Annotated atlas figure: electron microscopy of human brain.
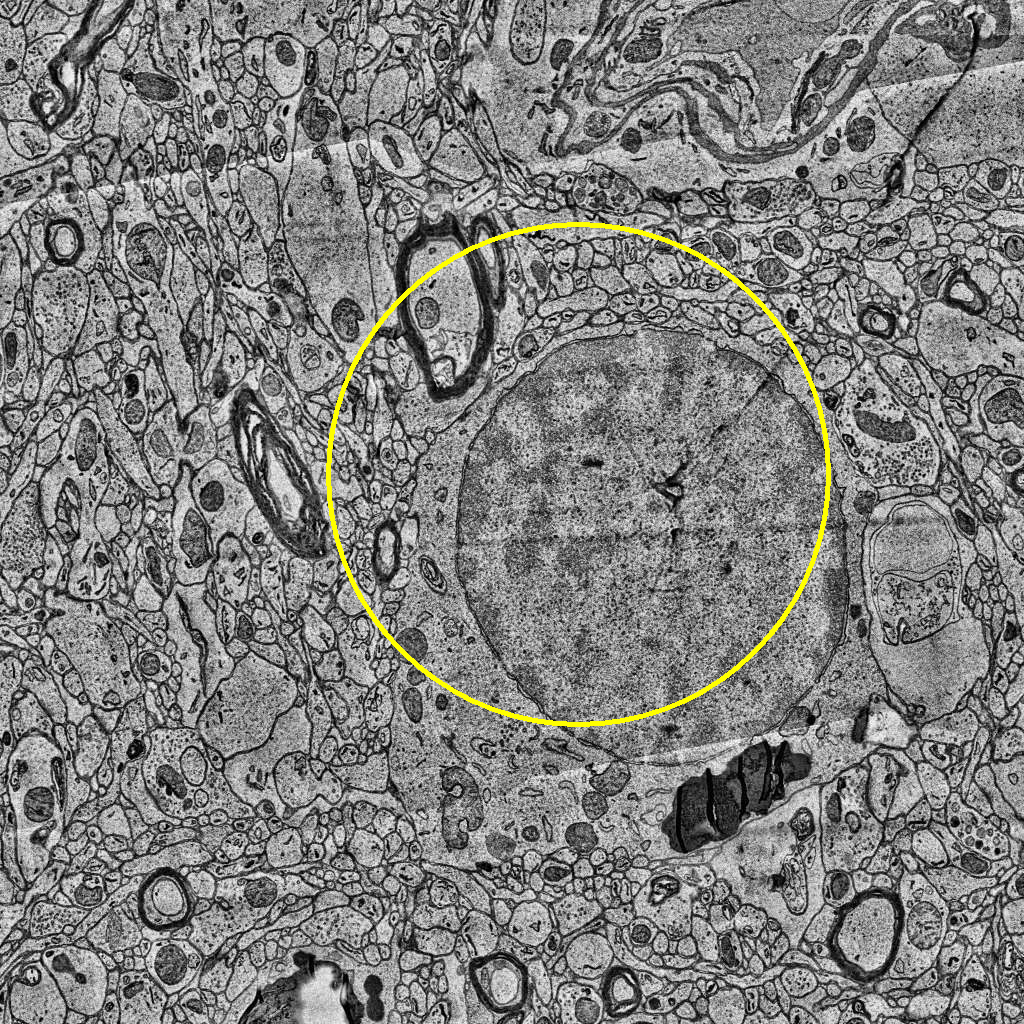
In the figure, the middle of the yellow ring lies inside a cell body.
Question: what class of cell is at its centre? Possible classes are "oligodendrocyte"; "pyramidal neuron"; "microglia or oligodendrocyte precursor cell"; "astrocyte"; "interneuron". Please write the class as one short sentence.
The yellow ring's centre lies in an oligodendrocyte.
